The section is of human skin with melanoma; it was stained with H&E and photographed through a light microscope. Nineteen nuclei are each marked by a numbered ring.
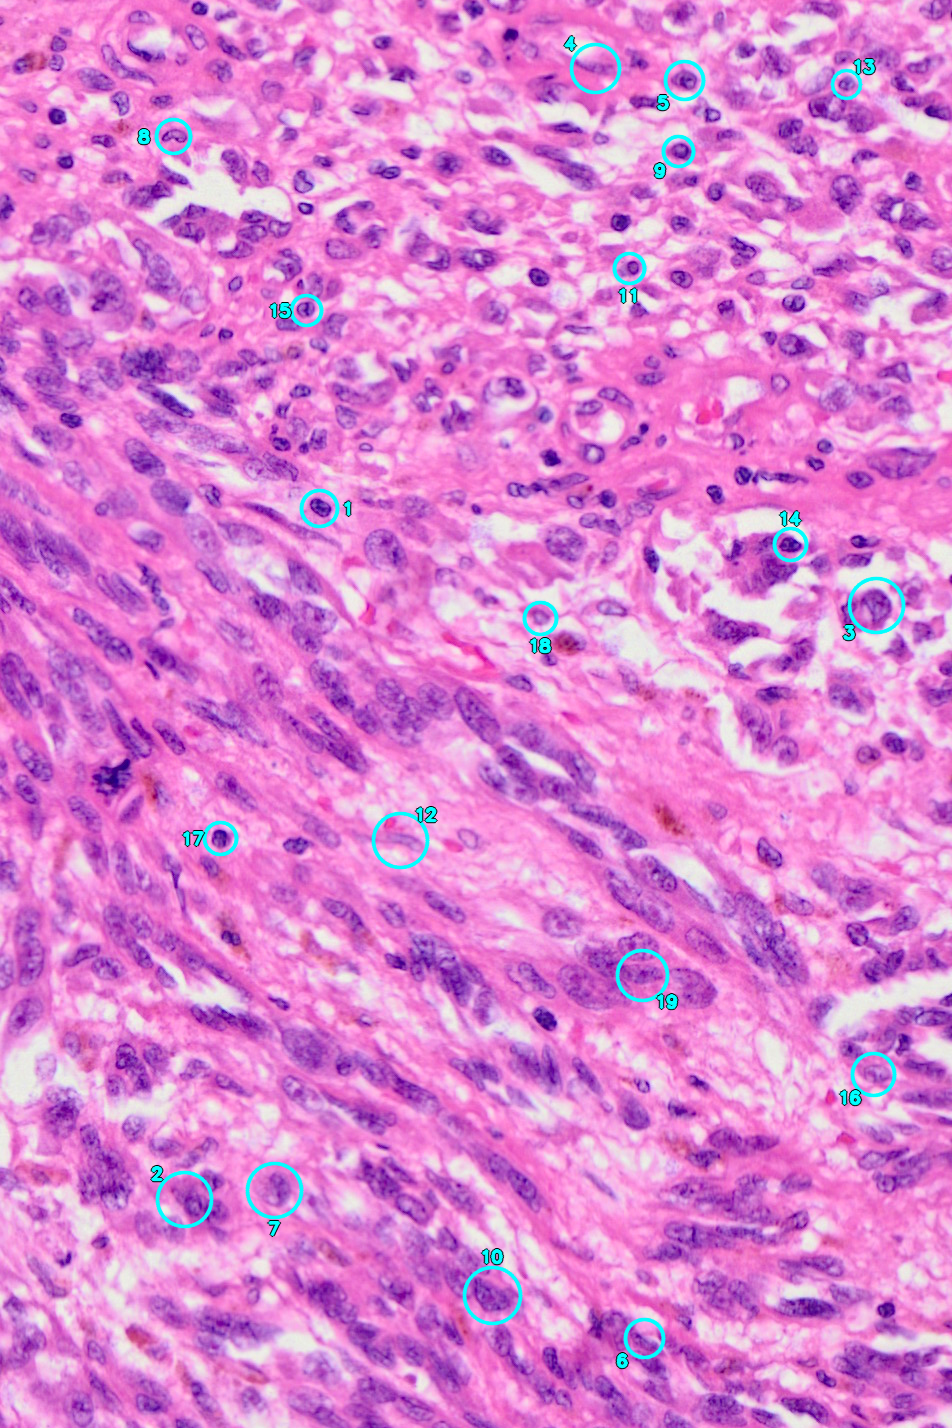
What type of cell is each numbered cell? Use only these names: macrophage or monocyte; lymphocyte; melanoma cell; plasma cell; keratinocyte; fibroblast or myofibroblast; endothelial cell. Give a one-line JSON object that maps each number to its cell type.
{"1": "lymphocyte", "2": "melanoma cell", "3": "melanoma cell", "4": "endothelial cell", "5": "macrophage or monocyte", "6": "melanoma cell", "7": "melanoma cell", "8": "macrophage or monocyte", "9": "macrophage or monocyte", "10": "melanoma cell", "11": "macrophage or monocyte", "12": "fibroblast or myofibroblast", "13": "lymphocyte", "14": "lymphocyte", "15": "lymphocyte", "16": "melanoma cell", "17": "lymphocyte", "18": "macrophage or monocyte", "19": "melanoma cell"}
